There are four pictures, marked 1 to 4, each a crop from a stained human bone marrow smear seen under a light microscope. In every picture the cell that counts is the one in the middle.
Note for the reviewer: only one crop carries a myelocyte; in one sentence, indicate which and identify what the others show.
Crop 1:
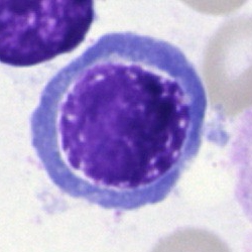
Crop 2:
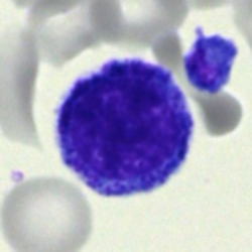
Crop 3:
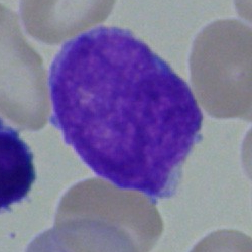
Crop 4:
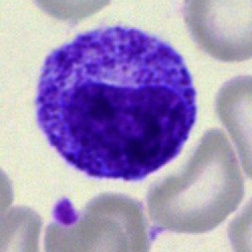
With respect to crop 4, the cell is a myelocyte, whereas crop 1 is a normoblast, crop 2 is a promyelocyte and crop 3 is a blast.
